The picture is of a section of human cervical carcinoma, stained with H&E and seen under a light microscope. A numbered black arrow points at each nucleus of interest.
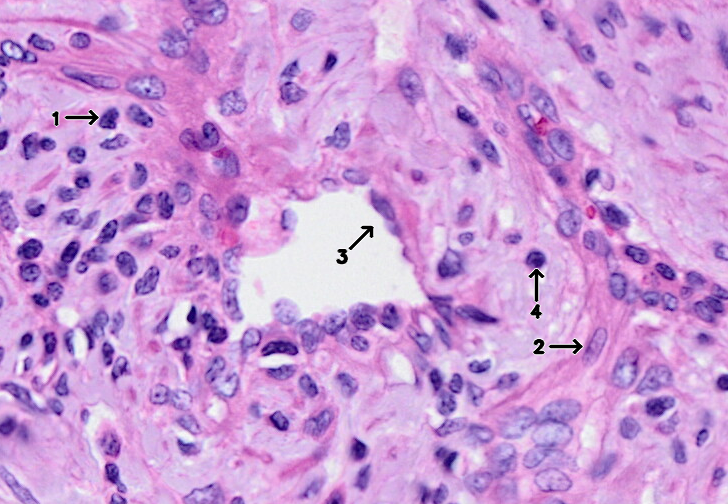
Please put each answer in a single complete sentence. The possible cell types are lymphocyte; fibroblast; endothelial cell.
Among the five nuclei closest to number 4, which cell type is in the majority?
Endothelial cells make up most of the five nuclei closest to number 4.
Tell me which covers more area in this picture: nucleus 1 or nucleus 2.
Number 2 is larger; its area is about 1.5 times that of number 1.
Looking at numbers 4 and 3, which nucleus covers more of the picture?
Number 3 is larger; its area is about 2 times that of number 4.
